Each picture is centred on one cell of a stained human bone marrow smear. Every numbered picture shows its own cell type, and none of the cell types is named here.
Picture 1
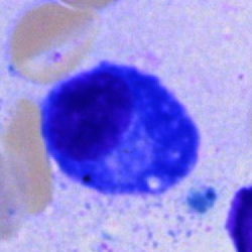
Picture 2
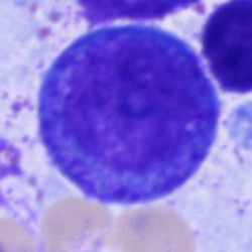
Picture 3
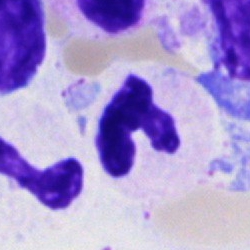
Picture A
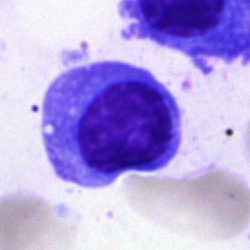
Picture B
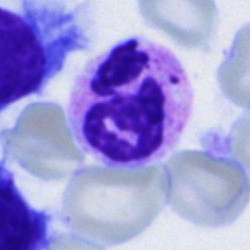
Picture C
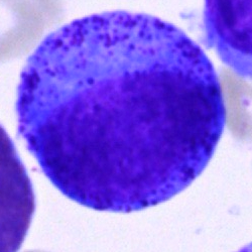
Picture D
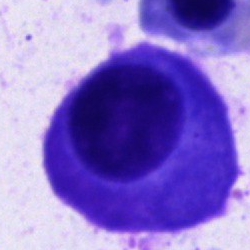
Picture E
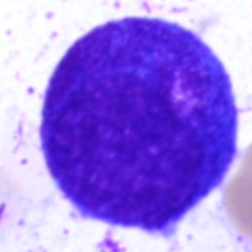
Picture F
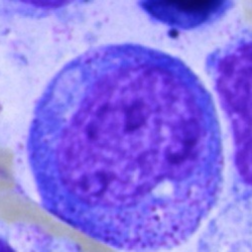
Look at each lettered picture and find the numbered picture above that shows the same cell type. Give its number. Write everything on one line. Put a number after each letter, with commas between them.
A 1, B 3, C 2, D 1, E 2, F 2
